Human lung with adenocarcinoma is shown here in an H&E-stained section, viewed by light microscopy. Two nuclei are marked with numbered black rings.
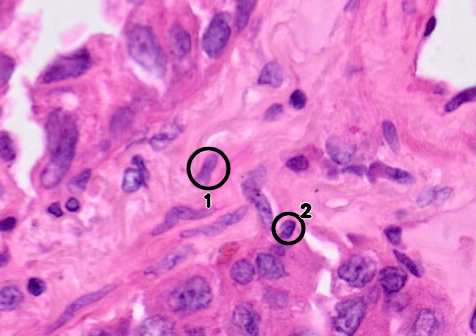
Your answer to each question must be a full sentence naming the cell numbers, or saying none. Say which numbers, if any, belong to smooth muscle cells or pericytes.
Cell 1 is a smooth muscle cell or pericyte; the remaining numbered cells are not.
